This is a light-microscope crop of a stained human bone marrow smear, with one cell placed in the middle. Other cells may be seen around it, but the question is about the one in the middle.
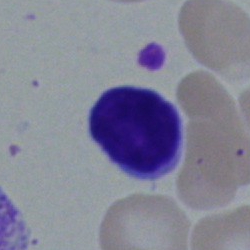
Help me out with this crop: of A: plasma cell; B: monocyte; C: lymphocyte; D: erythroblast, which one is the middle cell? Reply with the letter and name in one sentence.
The correct option is C, as the central cell is a lymphocyte.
